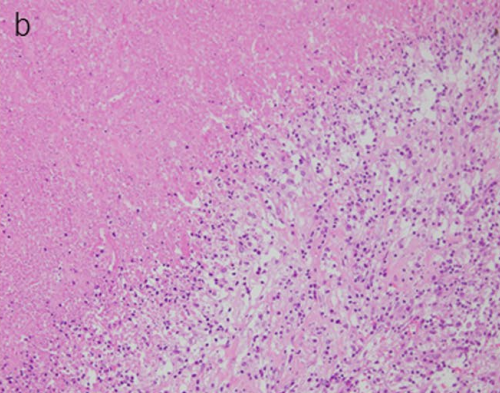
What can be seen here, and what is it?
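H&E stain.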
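The upper left is a broad pink area that is nearly free of nuclei, where cells have lost their detail. Toward the lower right the tissue becomes looser and more cellular, with many scattered small dark nuclei of inflammatory cells lying in a pale, fibrillar stroma. The transition between the pink necrotic area and the cellular zone is gradual, with a band of scattered nuclei at the border.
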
